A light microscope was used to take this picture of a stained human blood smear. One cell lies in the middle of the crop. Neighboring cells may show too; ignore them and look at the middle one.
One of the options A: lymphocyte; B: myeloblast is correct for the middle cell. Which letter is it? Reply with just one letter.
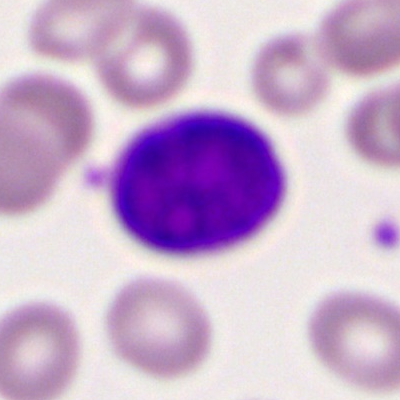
B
